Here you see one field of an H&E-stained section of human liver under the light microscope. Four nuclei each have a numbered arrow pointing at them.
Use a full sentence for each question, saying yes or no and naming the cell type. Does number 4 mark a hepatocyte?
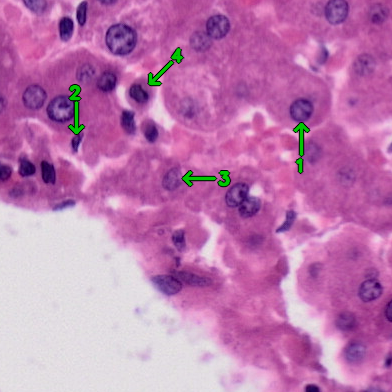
No, the cell denoted 4 is a Kupffer cell rather than a hepatocyte.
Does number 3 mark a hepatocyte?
Yes, the cell whose nucleus carries number 3 is a hepatocyte.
